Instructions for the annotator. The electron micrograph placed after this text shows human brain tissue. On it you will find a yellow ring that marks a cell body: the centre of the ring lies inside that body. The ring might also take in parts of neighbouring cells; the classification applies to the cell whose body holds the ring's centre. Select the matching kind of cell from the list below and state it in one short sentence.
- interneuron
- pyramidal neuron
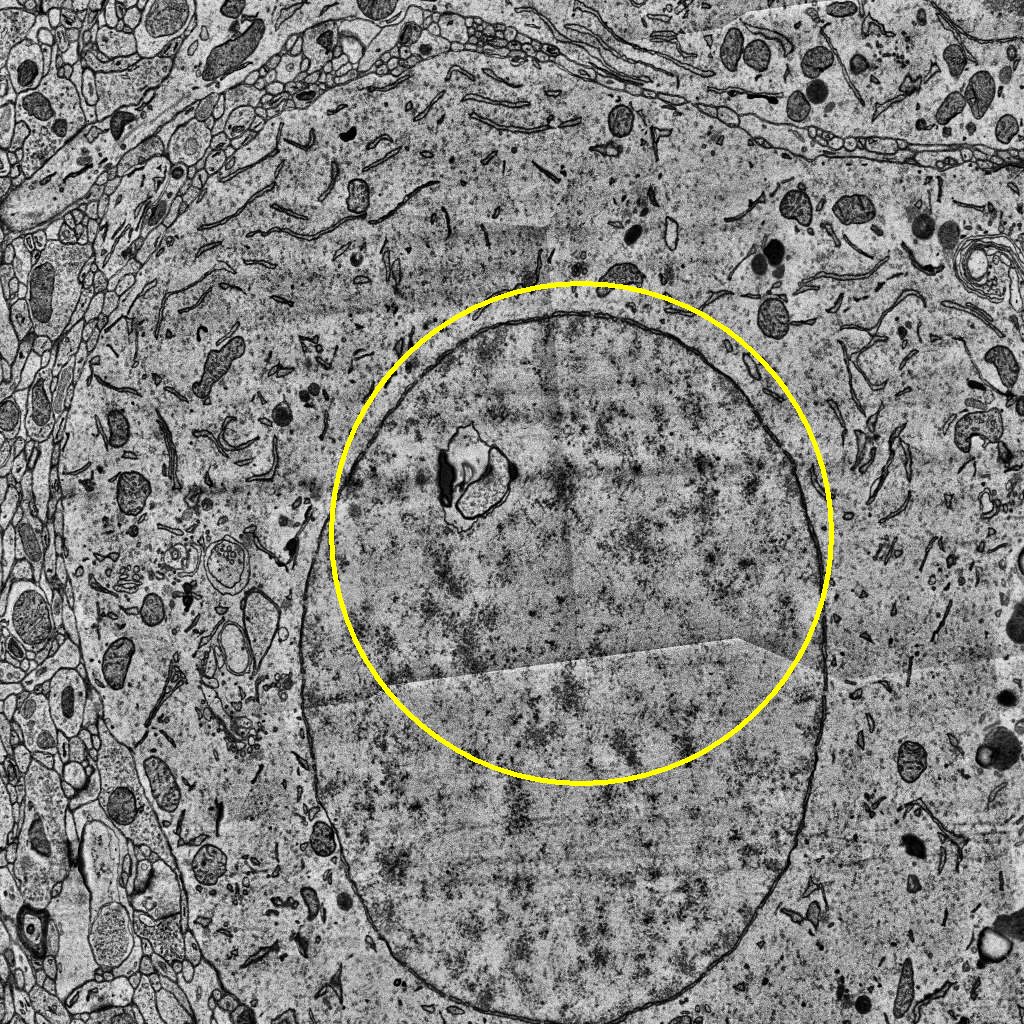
The centre of the ring lies in the cell body of a pyramidal neuron.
